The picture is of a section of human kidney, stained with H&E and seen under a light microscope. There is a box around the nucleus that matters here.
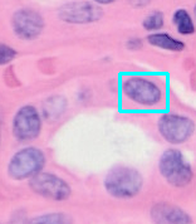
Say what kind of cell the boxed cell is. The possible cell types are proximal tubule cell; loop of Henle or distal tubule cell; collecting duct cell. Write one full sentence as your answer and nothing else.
As far as its identity is concerned, the boxed cell is a collecting duct cell.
